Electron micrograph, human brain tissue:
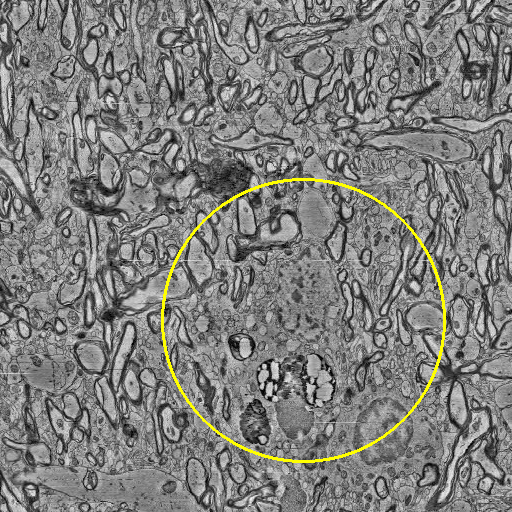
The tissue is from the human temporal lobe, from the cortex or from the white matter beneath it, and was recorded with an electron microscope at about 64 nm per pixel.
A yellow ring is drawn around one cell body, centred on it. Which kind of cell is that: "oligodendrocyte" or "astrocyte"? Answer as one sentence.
It is an astrocyte at the centre of the ring.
